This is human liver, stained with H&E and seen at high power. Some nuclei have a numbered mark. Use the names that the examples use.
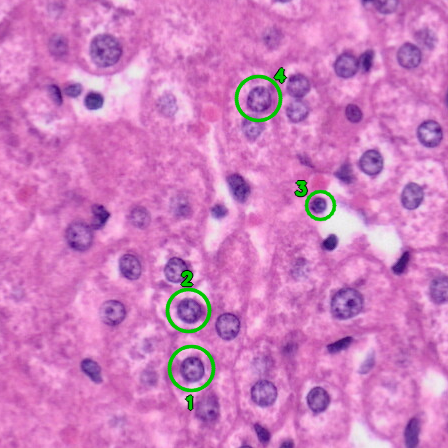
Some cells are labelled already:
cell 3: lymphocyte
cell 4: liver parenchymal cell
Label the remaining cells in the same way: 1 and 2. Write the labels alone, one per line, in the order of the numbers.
liver parenchymal cell
liver parenchymal cell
